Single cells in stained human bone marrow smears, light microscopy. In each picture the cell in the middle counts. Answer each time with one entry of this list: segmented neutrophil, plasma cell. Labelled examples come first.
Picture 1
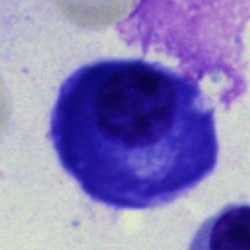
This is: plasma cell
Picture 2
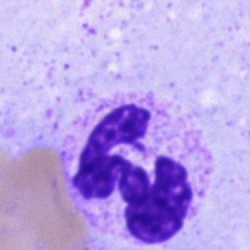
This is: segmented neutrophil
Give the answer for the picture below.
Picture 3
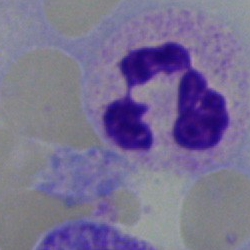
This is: segmented neutrophil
